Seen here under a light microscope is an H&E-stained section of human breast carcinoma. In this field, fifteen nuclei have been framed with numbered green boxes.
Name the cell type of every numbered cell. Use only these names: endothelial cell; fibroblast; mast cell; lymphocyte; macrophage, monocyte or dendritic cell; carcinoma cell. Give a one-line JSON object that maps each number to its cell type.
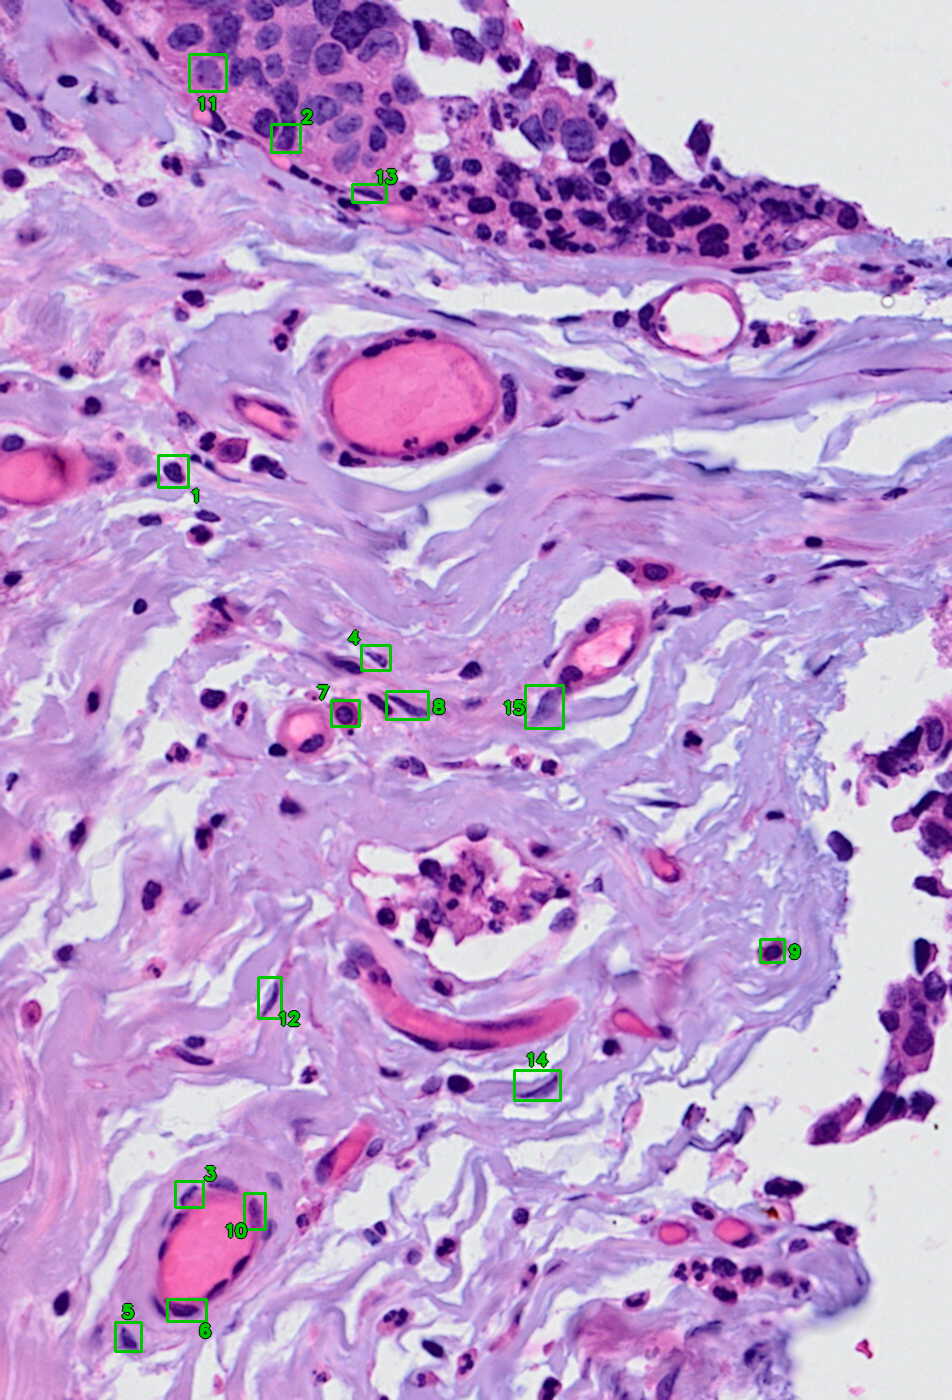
{"1": "lymphocyte", "2": "carcinoma cell", "3": "fibroblast", "4": "fibroblast", "5": "fibroblast", "6": "endothelial cell", "7": "mast cell", "8": "fibroblast", "9": "mast cell", "10": "endothelial cell", "11": "carcinoma cell", "12": "fibroblast", "13": "endothelial cell", "14": "fibroblast", "15": "fibroblast"}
